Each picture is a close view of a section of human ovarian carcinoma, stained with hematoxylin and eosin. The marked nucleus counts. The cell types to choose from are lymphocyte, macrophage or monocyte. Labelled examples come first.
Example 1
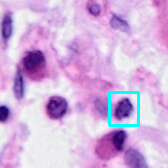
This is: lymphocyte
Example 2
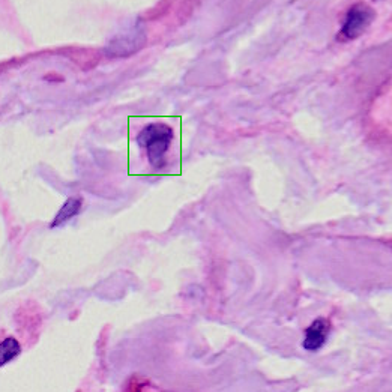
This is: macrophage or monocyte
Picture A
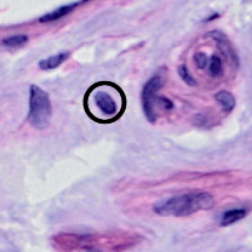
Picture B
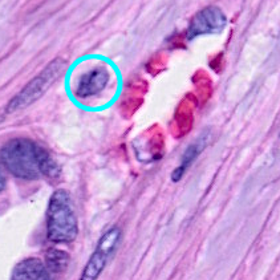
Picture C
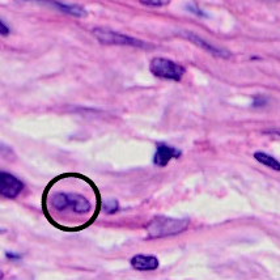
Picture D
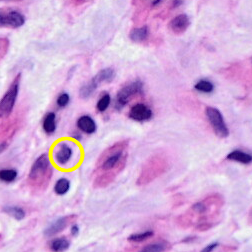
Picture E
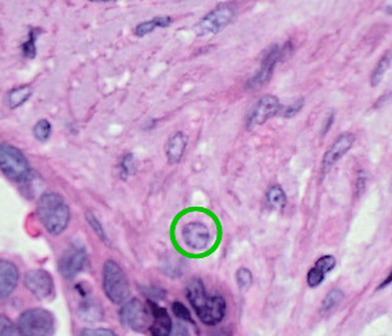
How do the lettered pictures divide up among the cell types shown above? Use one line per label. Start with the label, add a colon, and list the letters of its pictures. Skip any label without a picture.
lymphocyte: A, D
macrophage or monocyte: B, C, E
